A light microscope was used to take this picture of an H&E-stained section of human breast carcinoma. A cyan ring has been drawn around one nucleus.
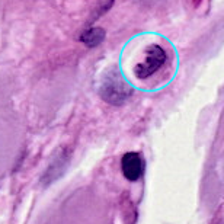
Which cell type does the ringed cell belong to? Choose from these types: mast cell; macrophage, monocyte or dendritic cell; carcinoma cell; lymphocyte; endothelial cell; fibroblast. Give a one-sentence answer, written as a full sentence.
At the level of cell identity, the ringed cell is a macrophage, monocyte or dendritic cell.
